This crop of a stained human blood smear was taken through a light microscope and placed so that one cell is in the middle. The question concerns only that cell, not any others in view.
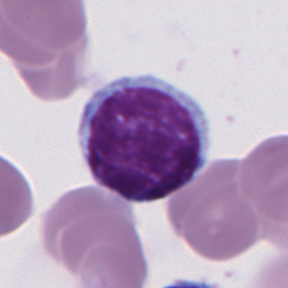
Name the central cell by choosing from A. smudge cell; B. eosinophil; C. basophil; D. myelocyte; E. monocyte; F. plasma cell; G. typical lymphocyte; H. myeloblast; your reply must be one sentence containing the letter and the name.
The cell in the middle is correctly identified as a typical lymphocyte in option G.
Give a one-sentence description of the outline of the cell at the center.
There are no projections here; the outline is simply smooth.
